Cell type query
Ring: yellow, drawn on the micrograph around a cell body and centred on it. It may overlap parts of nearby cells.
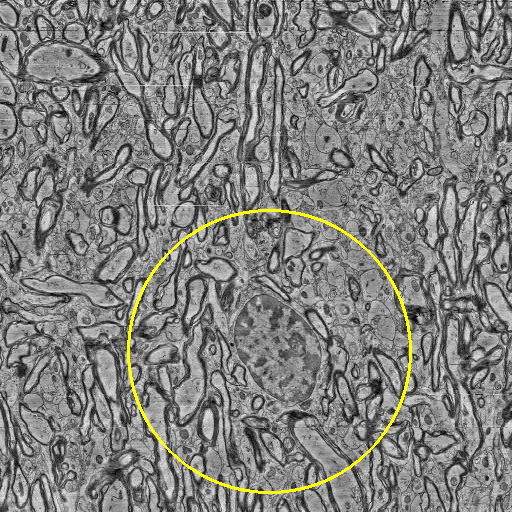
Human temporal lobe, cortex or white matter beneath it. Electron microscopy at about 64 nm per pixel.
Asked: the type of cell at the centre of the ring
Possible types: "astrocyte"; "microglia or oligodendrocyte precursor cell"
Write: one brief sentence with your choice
The ring marks a microglial cell or oligodendrocyte precursor cell.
